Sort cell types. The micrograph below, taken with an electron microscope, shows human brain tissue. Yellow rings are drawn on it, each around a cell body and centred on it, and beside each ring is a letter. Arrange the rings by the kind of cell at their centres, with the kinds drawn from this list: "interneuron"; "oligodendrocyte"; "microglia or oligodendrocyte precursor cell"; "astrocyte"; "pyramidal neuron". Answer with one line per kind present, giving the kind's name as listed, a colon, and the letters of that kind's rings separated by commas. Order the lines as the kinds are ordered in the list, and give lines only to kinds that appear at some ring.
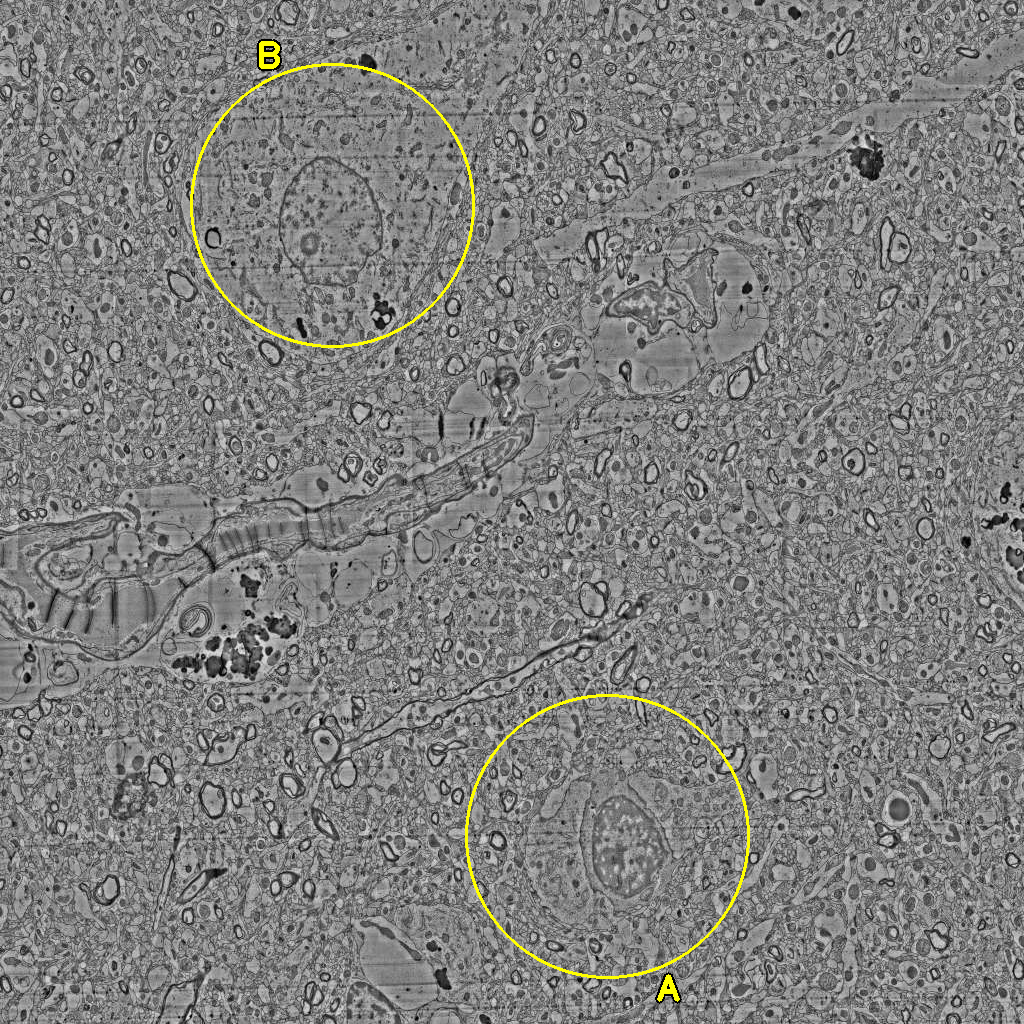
oligodendrocyte: A
pyramidal neuron: B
